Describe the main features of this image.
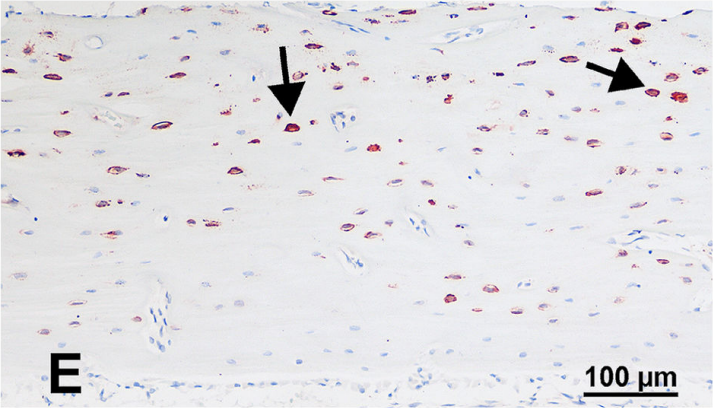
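Dense bone matrix fills the field, with many small elongated osteocytes scattered singly through it and aligned along the layers. A large share of them are stained red, some strongly, beside others that show only blue nuclei; a few small channels with blue-nucleated cells cross the matrix.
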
